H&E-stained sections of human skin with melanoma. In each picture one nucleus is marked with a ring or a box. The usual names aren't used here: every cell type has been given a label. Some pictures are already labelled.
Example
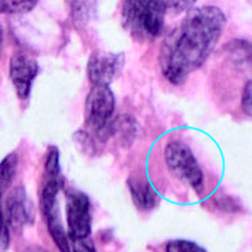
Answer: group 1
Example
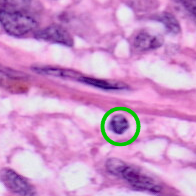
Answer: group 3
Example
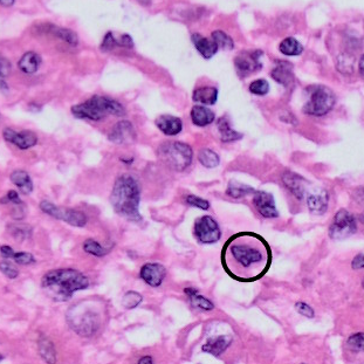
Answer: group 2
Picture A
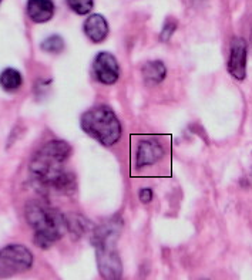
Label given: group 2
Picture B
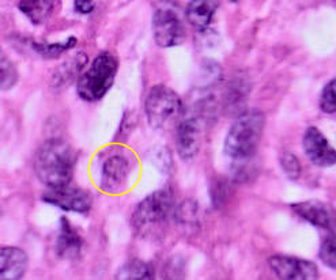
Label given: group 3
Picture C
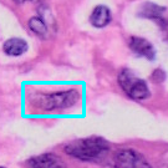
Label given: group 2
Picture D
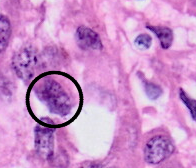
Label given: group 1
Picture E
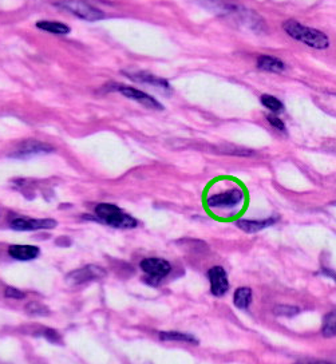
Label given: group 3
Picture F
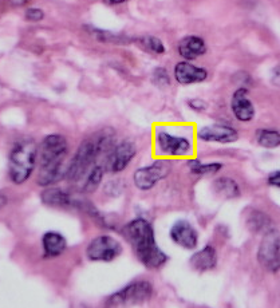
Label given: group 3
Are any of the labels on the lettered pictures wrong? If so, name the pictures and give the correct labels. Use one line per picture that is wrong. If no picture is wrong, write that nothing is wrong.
B: not group 3 but group 1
